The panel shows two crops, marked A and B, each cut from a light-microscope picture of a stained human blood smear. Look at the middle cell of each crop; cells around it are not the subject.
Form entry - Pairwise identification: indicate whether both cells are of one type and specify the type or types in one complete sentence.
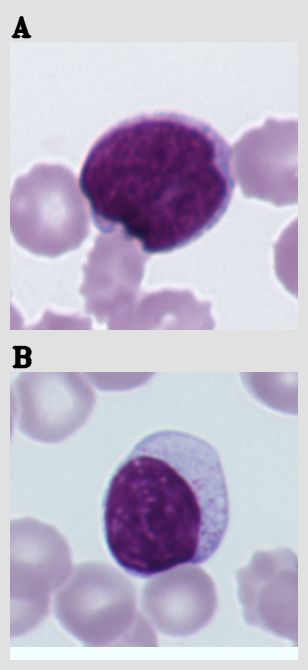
No, a myeloblast is depicted by crop A, a large granular lymphocyte by crop B.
